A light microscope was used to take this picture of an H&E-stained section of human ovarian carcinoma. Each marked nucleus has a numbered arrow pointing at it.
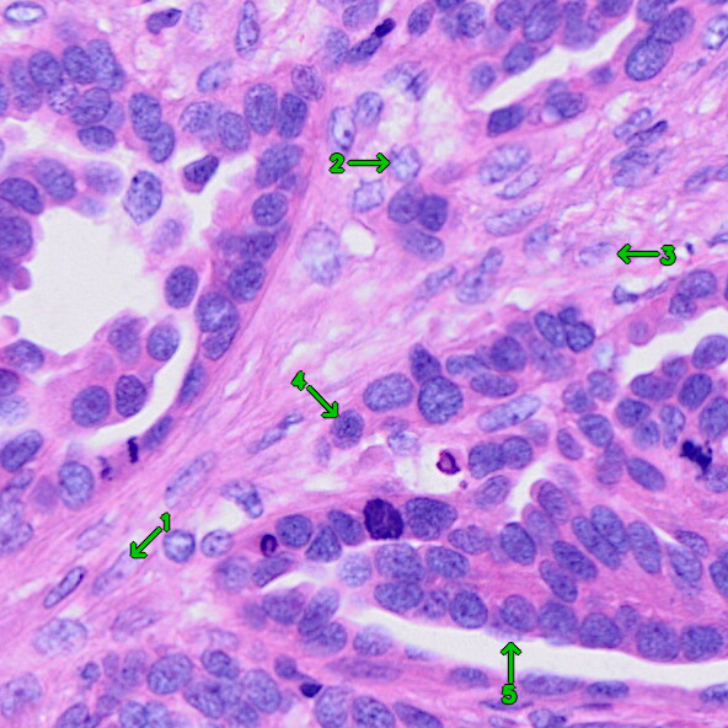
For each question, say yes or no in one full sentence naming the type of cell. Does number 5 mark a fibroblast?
No, it is not a fibroblast that bears number 5 but a carcinoma cell.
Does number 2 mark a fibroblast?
Yes, the nucleus numbered 2 belongs to a fibroblast.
